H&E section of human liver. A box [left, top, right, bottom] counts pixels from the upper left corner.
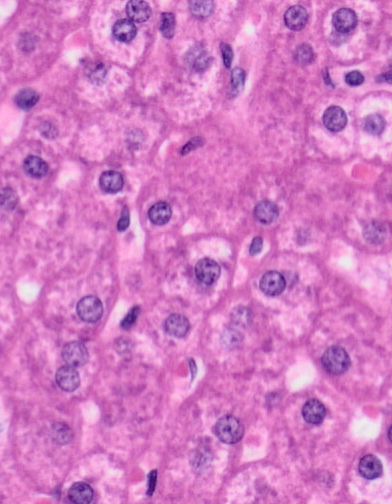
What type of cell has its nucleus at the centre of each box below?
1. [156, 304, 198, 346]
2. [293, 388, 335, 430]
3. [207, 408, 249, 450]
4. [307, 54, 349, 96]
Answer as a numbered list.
1. hepatocyte
2. hepatocyte
3. hepatocyte
4. endothelial cell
